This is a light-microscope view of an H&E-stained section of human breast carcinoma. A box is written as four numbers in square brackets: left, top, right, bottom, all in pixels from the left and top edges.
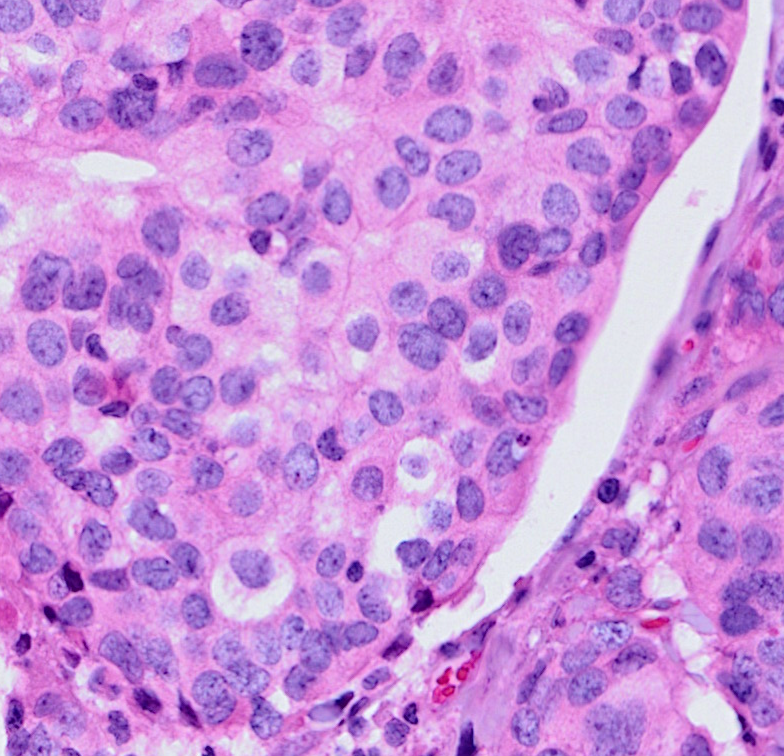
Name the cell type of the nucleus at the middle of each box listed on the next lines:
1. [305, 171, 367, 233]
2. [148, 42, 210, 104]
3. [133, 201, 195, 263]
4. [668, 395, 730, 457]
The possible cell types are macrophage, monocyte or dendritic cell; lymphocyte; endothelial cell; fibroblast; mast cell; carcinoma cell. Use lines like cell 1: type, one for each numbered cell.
cell 1: carcinoma cell
cell 2: carcinoma cell
cell 3: carcinoma cell
cell 4: endothelial cell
